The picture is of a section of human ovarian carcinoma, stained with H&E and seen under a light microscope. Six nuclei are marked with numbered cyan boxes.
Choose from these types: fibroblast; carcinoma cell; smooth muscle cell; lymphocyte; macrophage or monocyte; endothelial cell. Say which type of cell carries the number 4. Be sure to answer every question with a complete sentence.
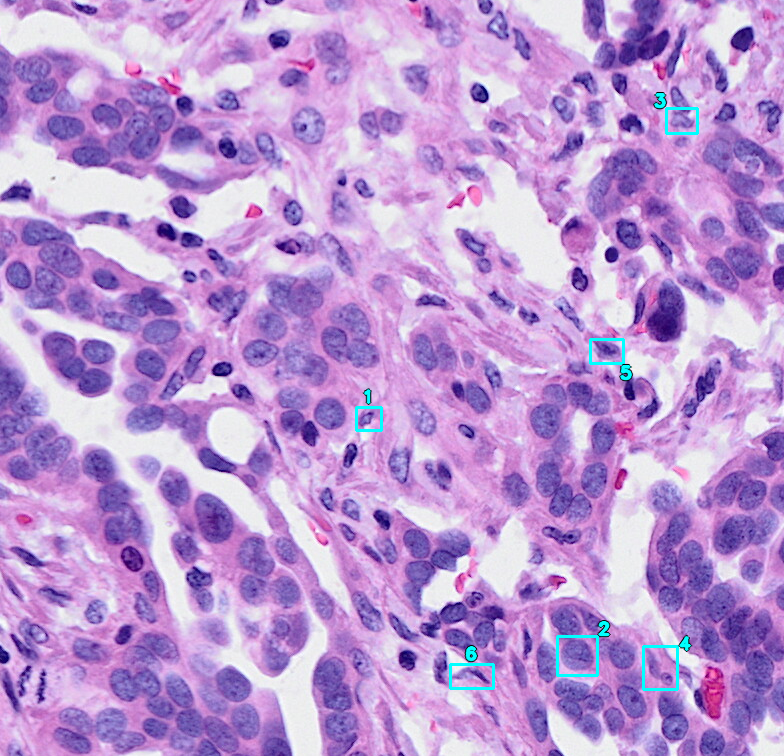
What the number 4 marks in this field is a macrophage or monocyte.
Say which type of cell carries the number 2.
Recognised here as a carcinoma cell is the cell numbered 2.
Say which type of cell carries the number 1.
The cell with the number 1 is a fibroblast.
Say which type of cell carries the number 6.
The cell identified by number 6 is a fibroblast.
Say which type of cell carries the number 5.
Cell 5, as marked in the section, is a fibroblast.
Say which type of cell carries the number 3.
The cell numbered 3 has been identified as a fibroblast.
